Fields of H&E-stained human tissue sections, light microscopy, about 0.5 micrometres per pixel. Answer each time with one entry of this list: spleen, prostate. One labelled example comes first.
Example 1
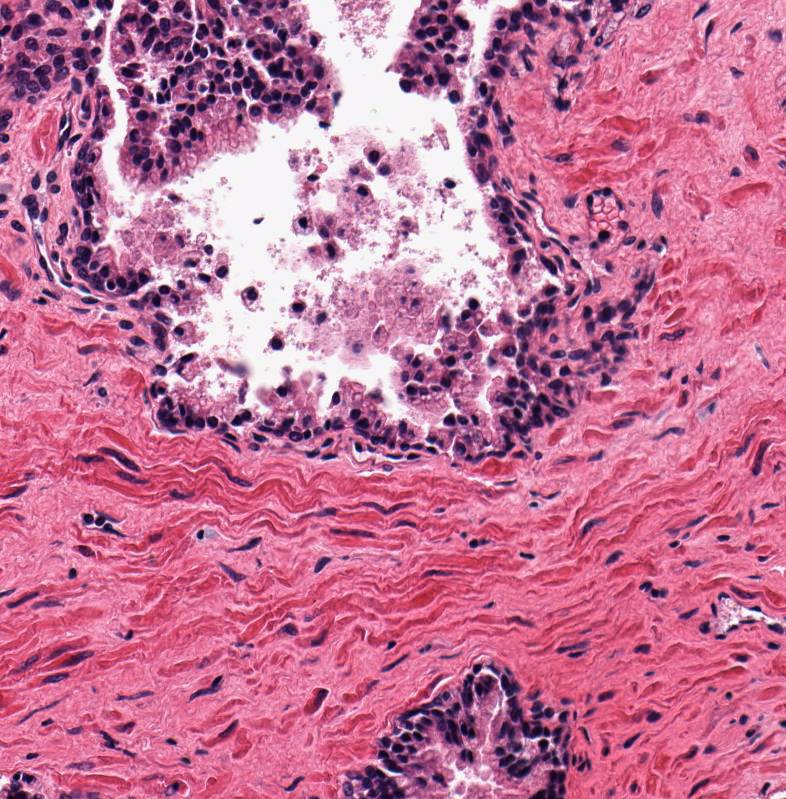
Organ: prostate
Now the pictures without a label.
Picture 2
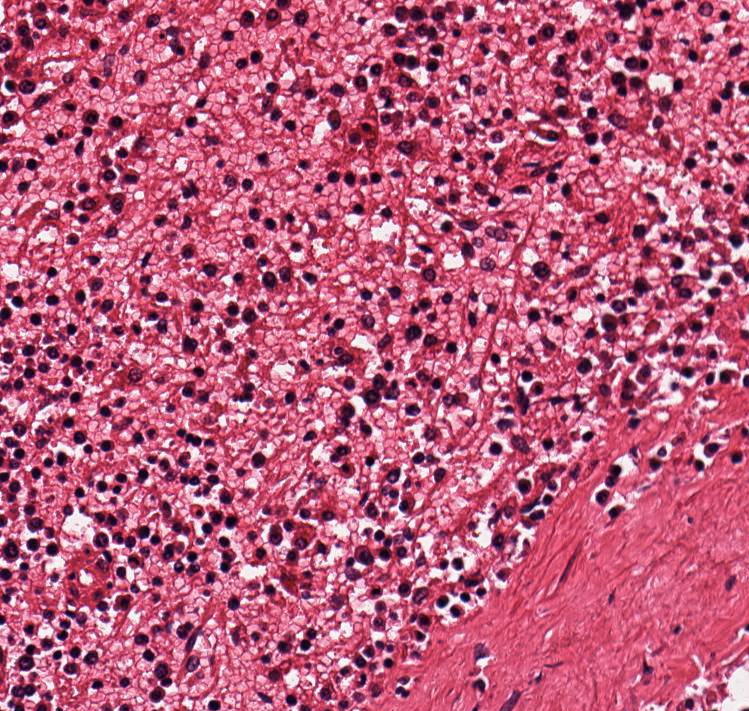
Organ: spleen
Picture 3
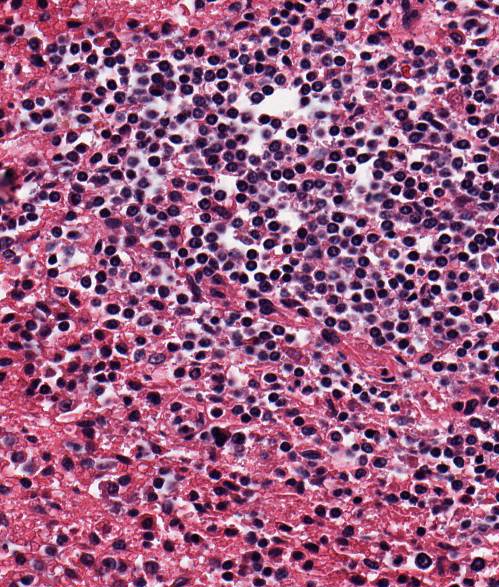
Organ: spleen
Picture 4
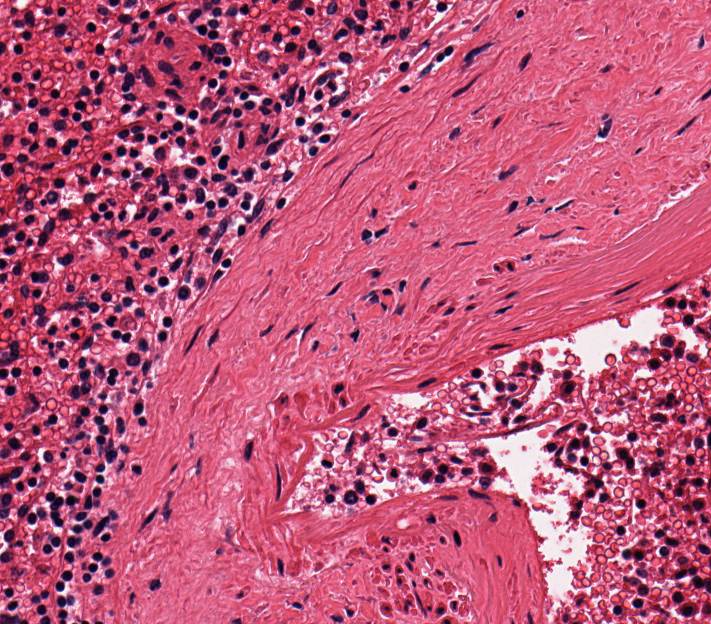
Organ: spleen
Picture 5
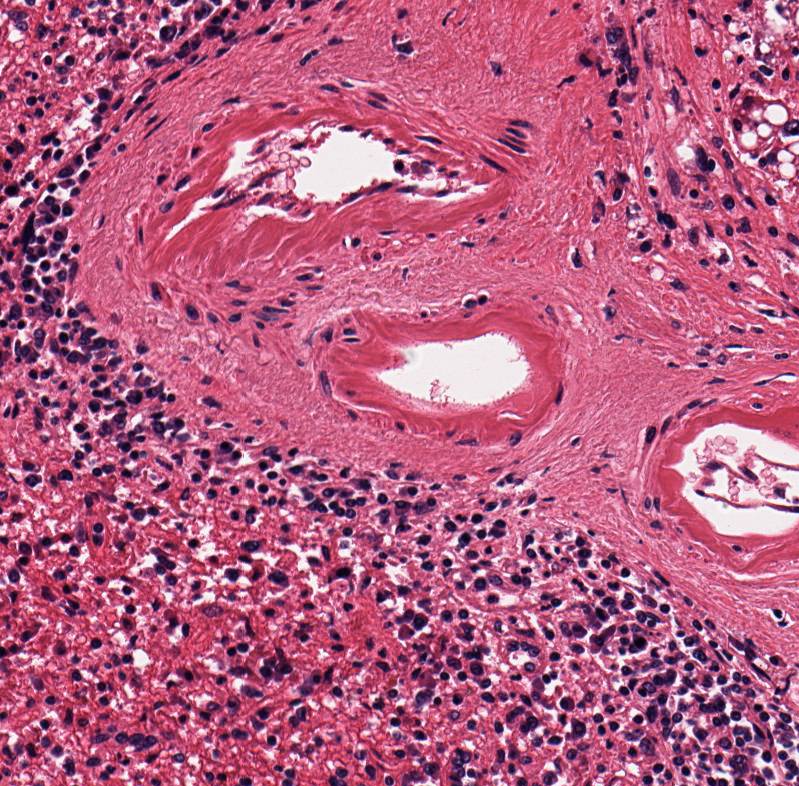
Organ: spleen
